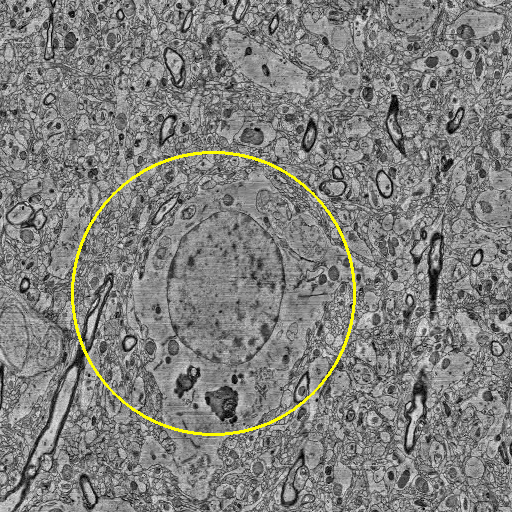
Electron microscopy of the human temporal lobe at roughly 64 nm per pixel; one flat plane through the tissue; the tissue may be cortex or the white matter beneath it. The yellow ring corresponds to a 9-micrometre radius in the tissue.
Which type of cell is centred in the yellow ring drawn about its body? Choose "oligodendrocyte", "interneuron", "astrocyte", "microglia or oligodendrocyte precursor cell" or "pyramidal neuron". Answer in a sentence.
The yellow ring surrounds the cell body of an astrocyte.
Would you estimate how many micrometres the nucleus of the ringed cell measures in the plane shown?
About 10 by 8 micrometers, in this plane.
